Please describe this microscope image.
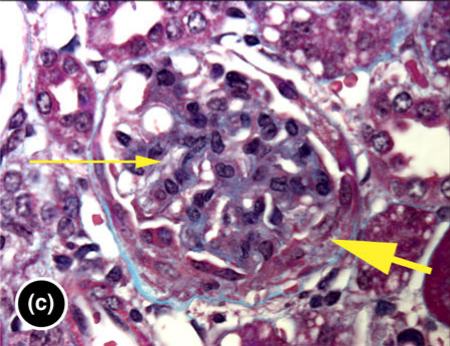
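A single glomerulus is shown with a crowded tuft of dark purple nuclei and few open capillary lumens. A band of layered cells lines the inner surface of the glomerular capsule, largely filling the space between capsule and tuft in a crescentic pattern. Thin blue-green fibres encircle the capsule, and tubules with pink-purple cytoplasm lie around it.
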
